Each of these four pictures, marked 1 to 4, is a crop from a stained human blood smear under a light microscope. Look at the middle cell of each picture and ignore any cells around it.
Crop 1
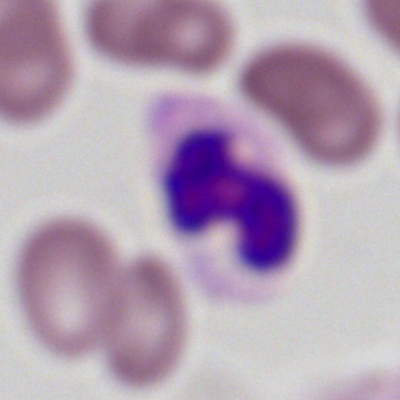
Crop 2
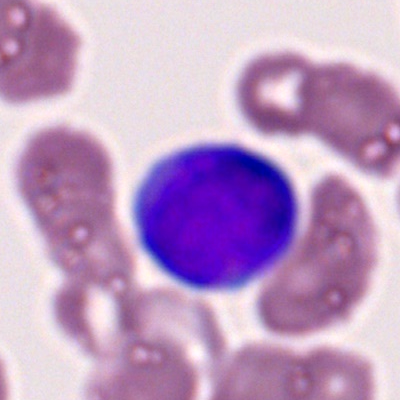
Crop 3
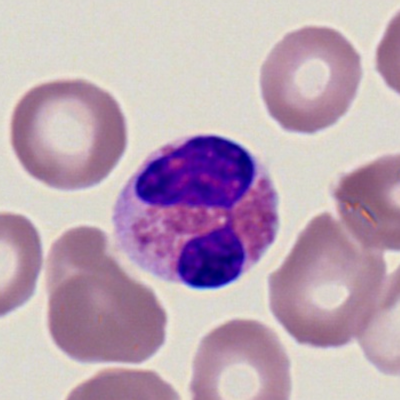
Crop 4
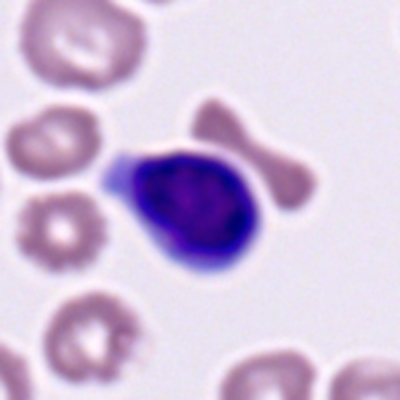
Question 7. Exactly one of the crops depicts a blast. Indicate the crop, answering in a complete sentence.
Among the crops, only crop 2 contains a blast.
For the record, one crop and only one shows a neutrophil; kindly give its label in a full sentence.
The sole crop showing a neutrophil is crop 1.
